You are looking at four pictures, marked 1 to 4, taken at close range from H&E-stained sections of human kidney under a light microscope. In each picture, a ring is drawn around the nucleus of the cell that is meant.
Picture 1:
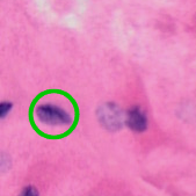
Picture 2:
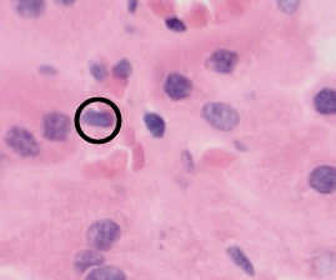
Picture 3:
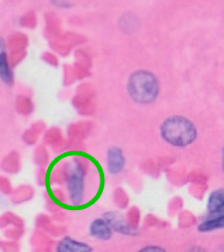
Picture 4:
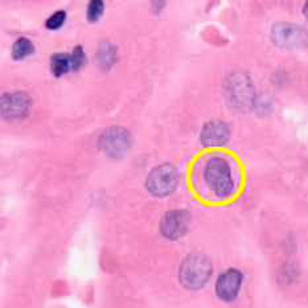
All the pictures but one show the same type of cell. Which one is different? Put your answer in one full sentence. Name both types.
The others show endothelial cells, but picture 4 shows a proximal tubule cell.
